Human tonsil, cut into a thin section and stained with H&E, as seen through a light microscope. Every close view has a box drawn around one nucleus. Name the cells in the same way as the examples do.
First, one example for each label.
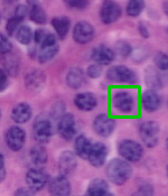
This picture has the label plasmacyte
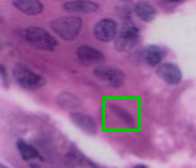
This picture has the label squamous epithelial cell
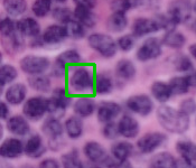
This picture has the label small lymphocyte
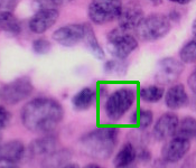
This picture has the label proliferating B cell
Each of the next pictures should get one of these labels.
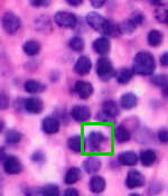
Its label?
small lymphocyte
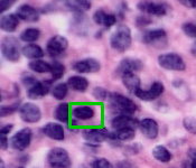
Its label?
small lymphocyte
